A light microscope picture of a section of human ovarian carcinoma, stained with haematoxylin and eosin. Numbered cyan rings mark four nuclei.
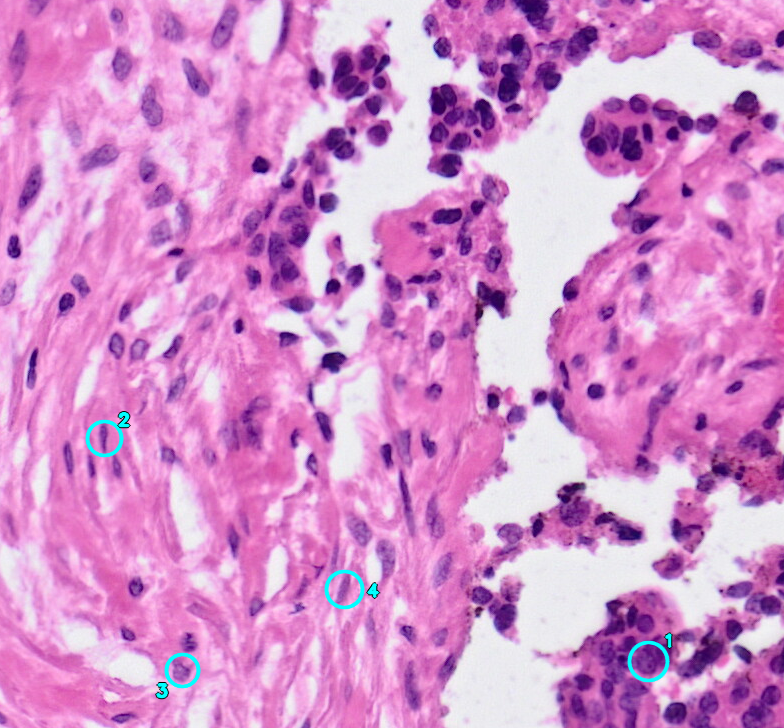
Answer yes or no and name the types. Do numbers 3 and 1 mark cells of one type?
No, with respect, cell 3 is a fibroblast and cell 1 is a carcinoma cell.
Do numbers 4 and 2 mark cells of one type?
Yes, the cell labelled 4 and the cell labelled 2 are both fibroblasts.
